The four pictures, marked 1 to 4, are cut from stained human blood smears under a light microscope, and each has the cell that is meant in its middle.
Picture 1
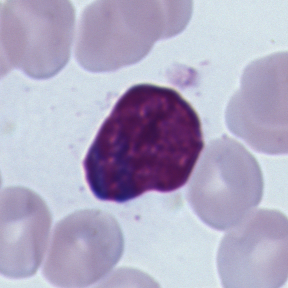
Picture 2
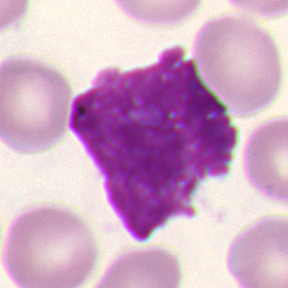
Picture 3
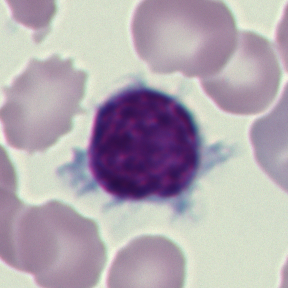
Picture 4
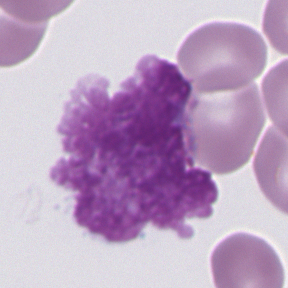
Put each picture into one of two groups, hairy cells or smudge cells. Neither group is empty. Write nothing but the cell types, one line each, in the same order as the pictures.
smudge cell
smudge cell
hairy cell
smudge cell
